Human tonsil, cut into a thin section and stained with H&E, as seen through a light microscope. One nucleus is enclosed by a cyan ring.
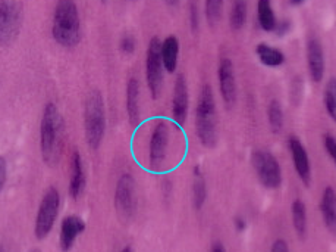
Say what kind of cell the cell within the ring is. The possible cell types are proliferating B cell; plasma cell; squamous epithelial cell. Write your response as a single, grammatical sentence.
In this field of tissue, the cell within the ring is a squamous epithelial cell.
